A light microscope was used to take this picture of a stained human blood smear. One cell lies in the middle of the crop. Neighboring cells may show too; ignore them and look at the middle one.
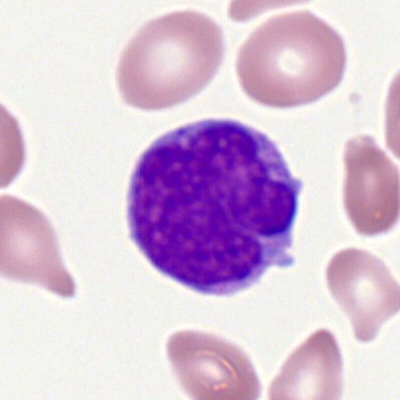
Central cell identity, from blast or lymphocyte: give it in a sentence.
The cell around which this crop is centred is a blast.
